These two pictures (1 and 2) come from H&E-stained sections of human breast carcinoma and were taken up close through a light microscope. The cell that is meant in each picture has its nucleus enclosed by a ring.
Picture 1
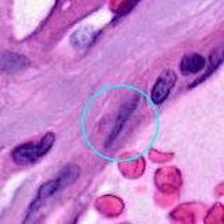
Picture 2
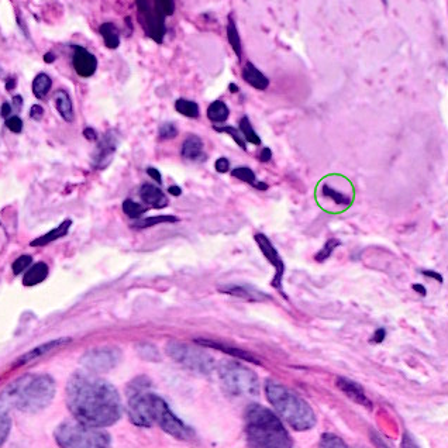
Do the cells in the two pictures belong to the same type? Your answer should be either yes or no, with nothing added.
no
